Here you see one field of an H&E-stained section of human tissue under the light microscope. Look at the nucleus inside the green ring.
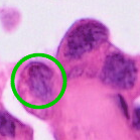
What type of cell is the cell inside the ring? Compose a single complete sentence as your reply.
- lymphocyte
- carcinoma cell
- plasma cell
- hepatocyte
Cytologically, the cell inside the ring is to be regarded as a carcinoma cell.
